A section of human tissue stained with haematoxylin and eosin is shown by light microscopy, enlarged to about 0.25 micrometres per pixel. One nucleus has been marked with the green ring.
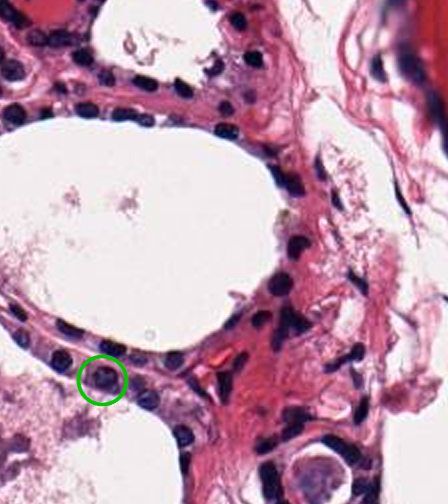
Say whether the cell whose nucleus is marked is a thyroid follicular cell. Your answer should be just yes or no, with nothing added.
yes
